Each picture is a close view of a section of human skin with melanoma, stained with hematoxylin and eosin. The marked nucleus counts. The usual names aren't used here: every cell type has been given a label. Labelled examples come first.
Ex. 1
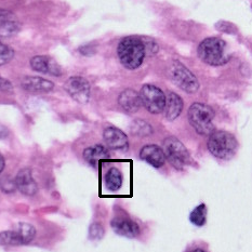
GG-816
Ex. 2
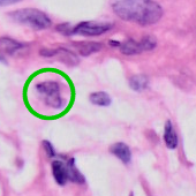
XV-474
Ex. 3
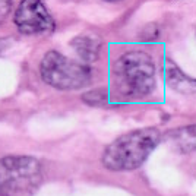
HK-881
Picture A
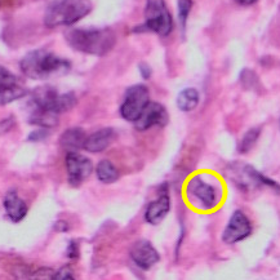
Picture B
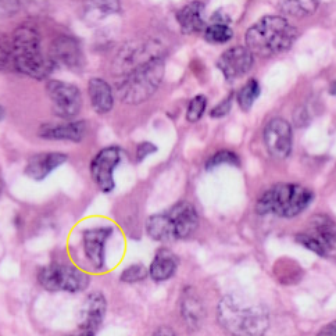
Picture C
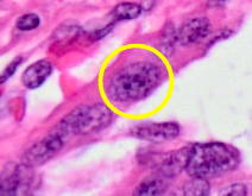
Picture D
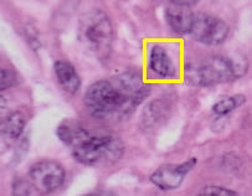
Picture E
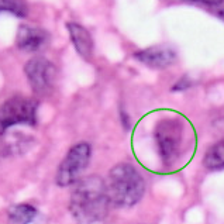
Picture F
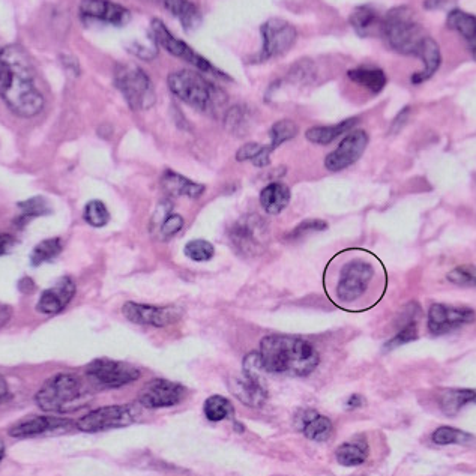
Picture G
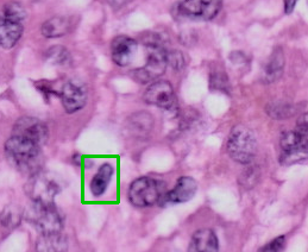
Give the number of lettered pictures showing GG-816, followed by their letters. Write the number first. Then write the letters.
Count: 1 (G)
